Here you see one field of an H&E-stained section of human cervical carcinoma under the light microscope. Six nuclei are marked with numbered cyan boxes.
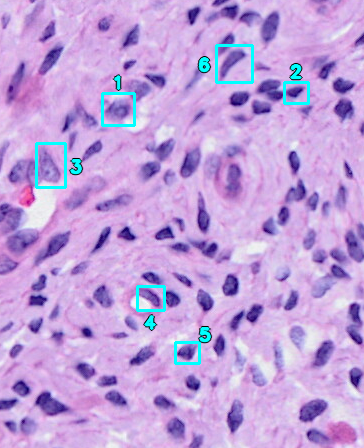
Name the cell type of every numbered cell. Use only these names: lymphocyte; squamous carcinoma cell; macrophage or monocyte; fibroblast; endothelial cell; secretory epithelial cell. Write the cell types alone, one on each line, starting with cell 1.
endothelial cell
fibroblast
endothelial cell
endothelial cell
fibroblast
fibroblast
